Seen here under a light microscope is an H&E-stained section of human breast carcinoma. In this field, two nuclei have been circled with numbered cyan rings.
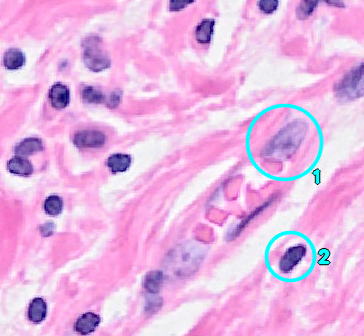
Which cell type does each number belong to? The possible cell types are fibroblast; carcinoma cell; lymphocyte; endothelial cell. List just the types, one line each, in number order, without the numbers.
endothelial cell
lymphocyte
